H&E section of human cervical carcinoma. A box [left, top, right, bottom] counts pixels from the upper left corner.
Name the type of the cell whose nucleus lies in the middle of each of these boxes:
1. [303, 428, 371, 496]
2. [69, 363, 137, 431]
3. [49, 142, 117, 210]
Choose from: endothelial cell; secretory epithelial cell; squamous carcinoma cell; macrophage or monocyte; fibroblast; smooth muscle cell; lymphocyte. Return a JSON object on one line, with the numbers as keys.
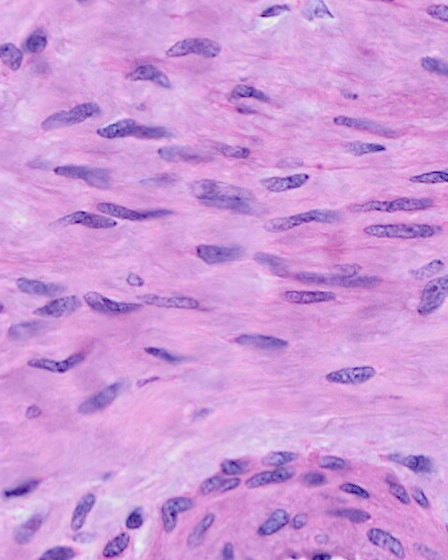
{"1": "smooth muscle cell", "2": "fibroblast", "3": "fibroblast"}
